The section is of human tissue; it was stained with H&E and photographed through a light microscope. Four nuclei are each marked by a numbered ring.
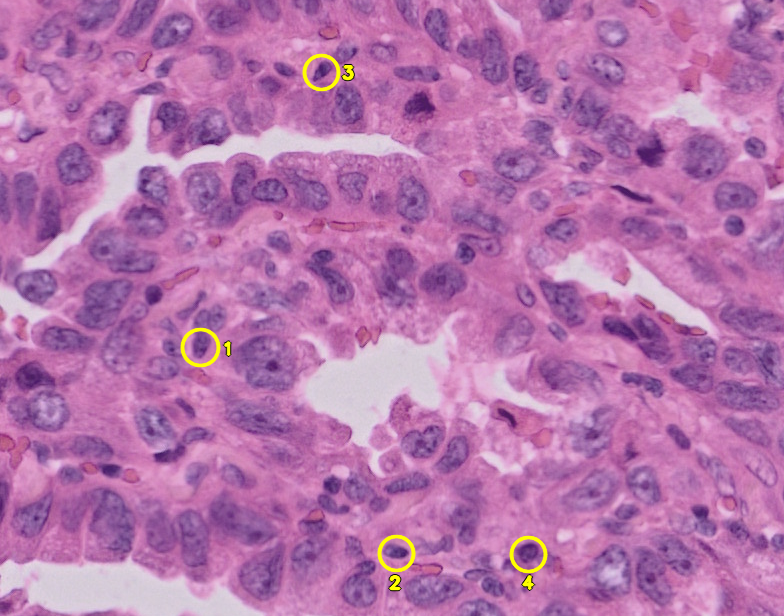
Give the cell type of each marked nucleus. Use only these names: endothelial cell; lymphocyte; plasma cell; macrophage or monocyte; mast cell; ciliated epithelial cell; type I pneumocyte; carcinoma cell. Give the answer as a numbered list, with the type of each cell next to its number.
1. lymphocyte
2. lymphocyte
3. lymphocyte
4. plasma cell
